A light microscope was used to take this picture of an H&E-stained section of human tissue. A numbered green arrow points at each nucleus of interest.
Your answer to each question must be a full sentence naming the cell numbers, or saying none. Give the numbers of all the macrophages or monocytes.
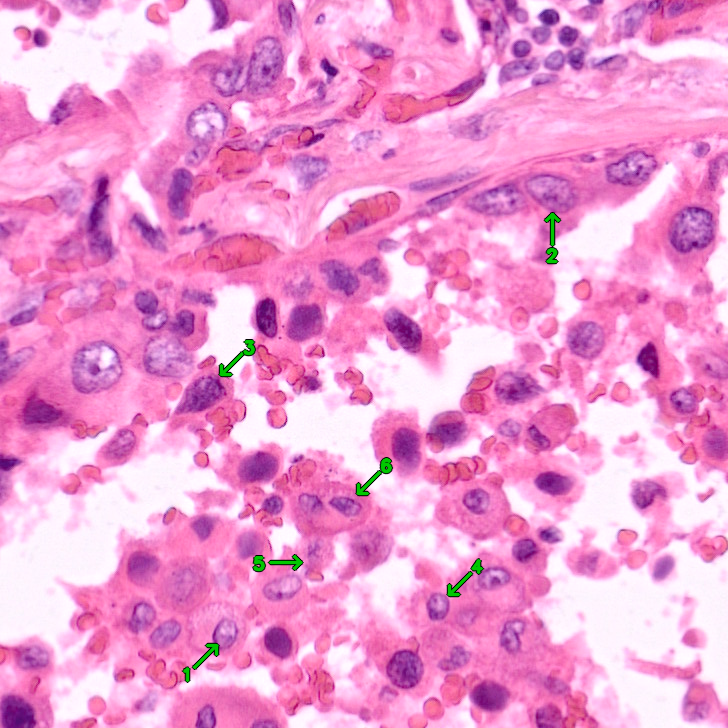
The numbers 1, 4, 5 and 6 mark cells that are macrophages or monocytes.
